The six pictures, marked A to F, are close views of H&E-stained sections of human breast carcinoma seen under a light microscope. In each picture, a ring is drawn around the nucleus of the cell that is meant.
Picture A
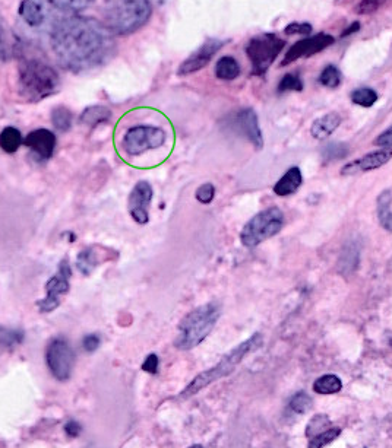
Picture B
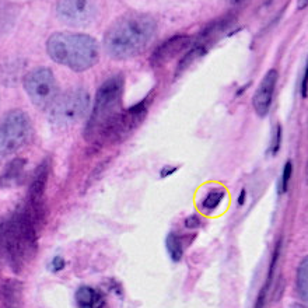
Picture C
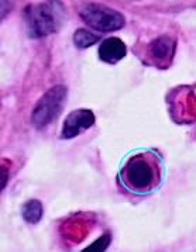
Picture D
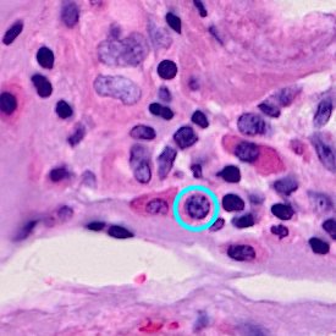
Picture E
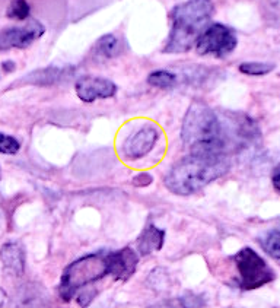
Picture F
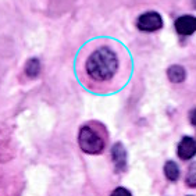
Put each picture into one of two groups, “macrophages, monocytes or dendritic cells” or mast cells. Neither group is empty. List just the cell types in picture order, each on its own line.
macrophage, monocyte or dendritic cell
mast cell
mast cell
mast cell
macrophage, monocyte or dendritic cell
mast cell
